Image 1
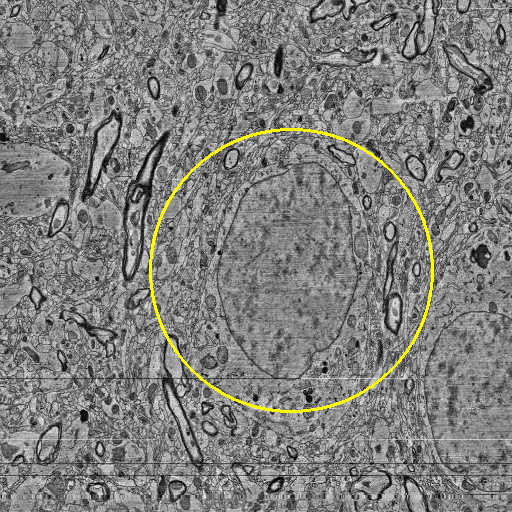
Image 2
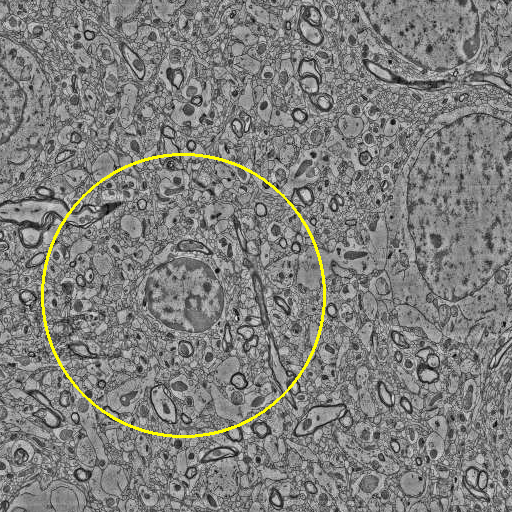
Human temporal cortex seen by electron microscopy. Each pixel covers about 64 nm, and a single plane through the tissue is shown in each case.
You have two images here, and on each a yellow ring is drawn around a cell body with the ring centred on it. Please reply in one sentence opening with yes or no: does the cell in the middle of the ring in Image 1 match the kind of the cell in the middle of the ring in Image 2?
No, the two images show cells of two kinds at the centres of their rings.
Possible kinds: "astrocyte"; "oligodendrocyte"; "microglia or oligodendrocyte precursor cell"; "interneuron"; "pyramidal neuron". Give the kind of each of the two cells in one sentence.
The cell in the second picture is a microglial cell or oligodendrocyte precursor cell, and that in the first is a pyramidal neuron.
